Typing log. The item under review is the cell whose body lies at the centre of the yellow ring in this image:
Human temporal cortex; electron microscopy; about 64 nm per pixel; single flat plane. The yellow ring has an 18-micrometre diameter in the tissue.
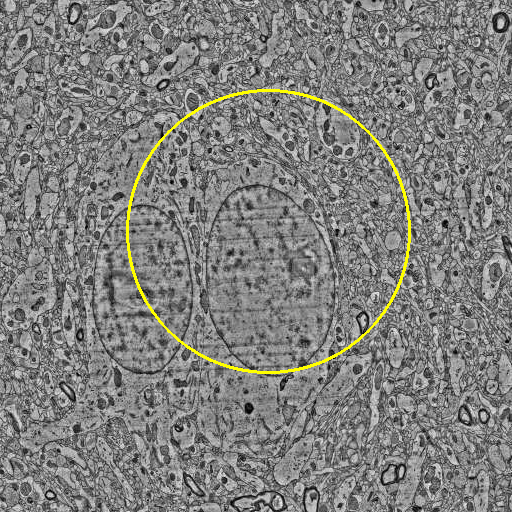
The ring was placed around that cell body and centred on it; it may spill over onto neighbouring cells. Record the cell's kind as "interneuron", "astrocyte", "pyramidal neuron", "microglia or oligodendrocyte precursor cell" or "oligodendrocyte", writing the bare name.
pyramidal neuron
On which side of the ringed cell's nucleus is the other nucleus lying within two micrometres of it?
That other nucleus sits to the left of it.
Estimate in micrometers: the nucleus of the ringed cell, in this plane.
In this plane, approximately 12 by 9 micrometers.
